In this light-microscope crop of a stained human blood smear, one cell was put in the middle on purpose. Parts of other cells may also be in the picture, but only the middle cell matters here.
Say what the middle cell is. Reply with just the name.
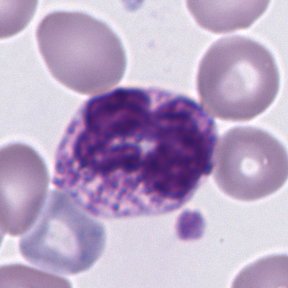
basophil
